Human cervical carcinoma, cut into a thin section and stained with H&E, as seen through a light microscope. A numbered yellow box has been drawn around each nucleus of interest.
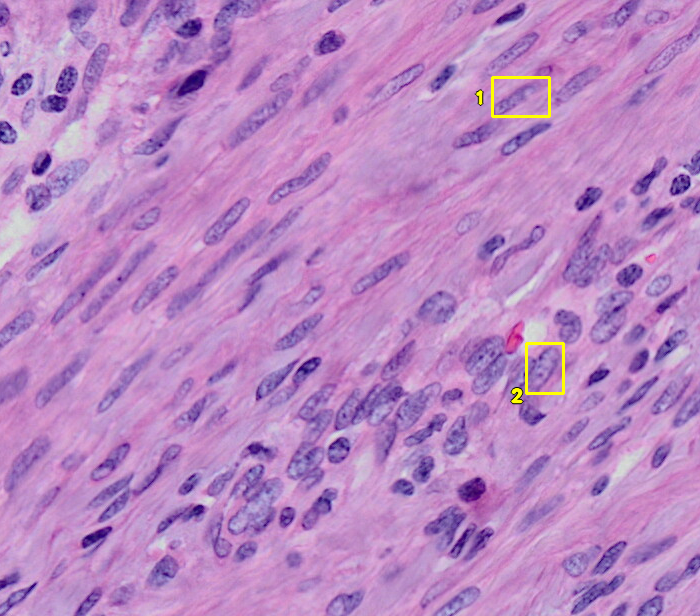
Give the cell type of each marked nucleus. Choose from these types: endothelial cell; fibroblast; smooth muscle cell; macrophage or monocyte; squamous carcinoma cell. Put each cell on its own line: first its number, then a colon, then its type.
1: smooth muscle cell
2: endothelial cell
